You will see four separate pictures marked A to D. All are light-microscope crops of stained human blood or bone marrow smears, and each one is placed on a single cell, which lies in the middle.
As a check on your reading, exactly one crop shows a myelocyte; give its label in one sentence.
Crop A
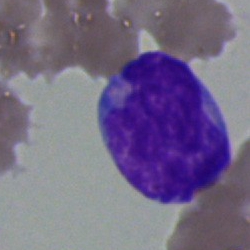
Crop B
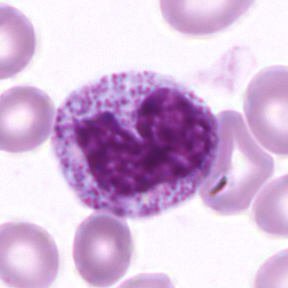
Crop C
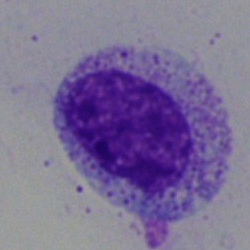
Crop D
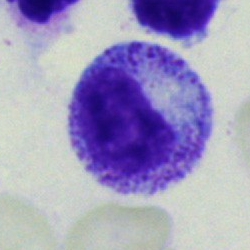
The cell identified as a myelocyte is the one in crop D.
